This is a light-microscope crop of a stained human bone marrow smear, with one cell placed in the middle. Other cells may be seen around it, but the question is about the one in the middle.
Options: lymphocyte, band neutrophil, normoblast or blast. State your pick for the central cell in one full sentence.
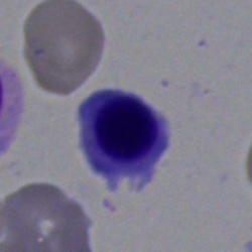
By classification, the middle cell of this crop is a normoblast.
